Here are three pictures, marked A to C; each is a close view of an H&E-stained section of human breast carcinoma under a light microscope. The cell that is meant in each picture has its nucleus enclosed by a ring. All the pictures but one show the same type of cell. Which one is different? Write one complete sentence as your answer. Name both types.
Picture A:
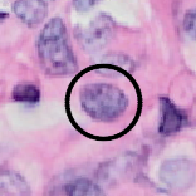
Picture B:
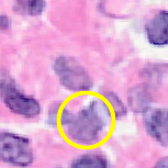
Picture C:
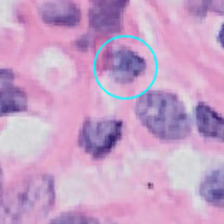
All pictures except C show carcinoma cells; picture C shows an endothelial cell.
